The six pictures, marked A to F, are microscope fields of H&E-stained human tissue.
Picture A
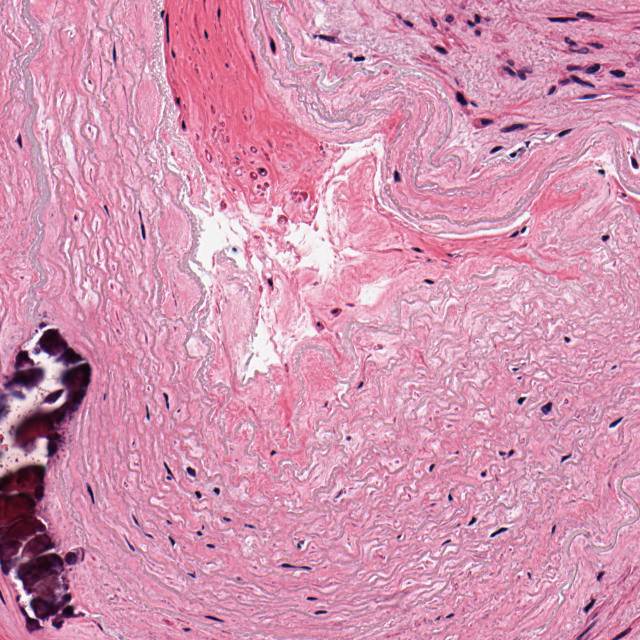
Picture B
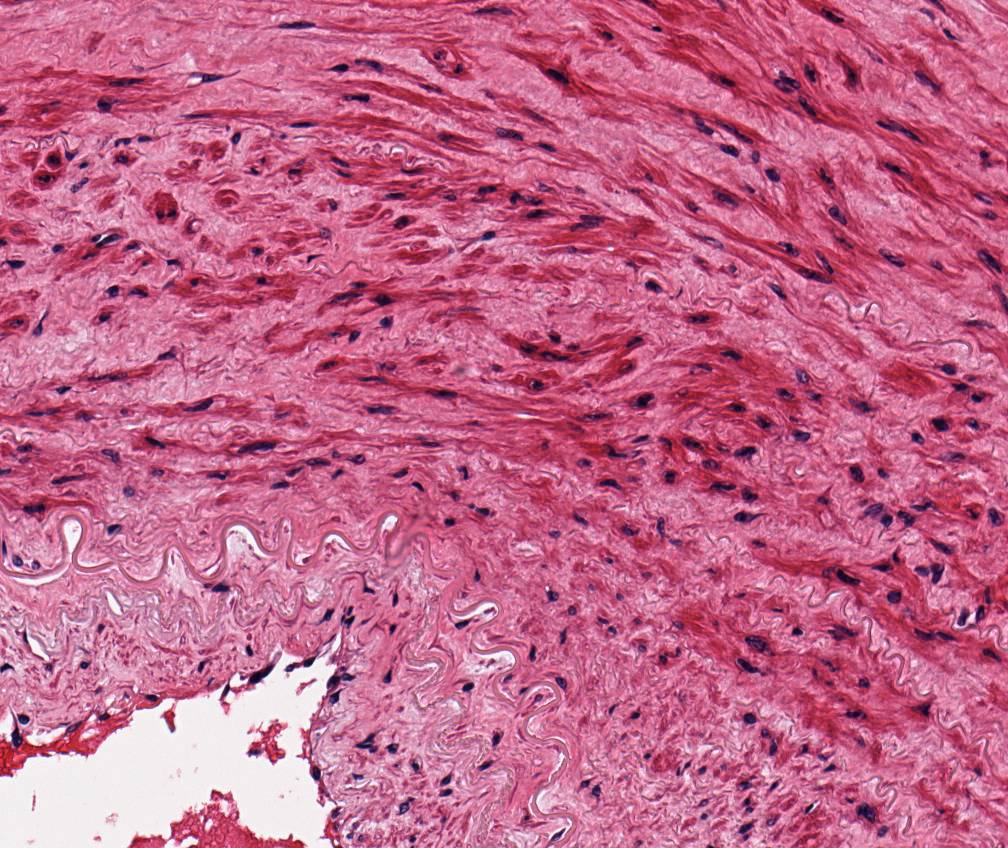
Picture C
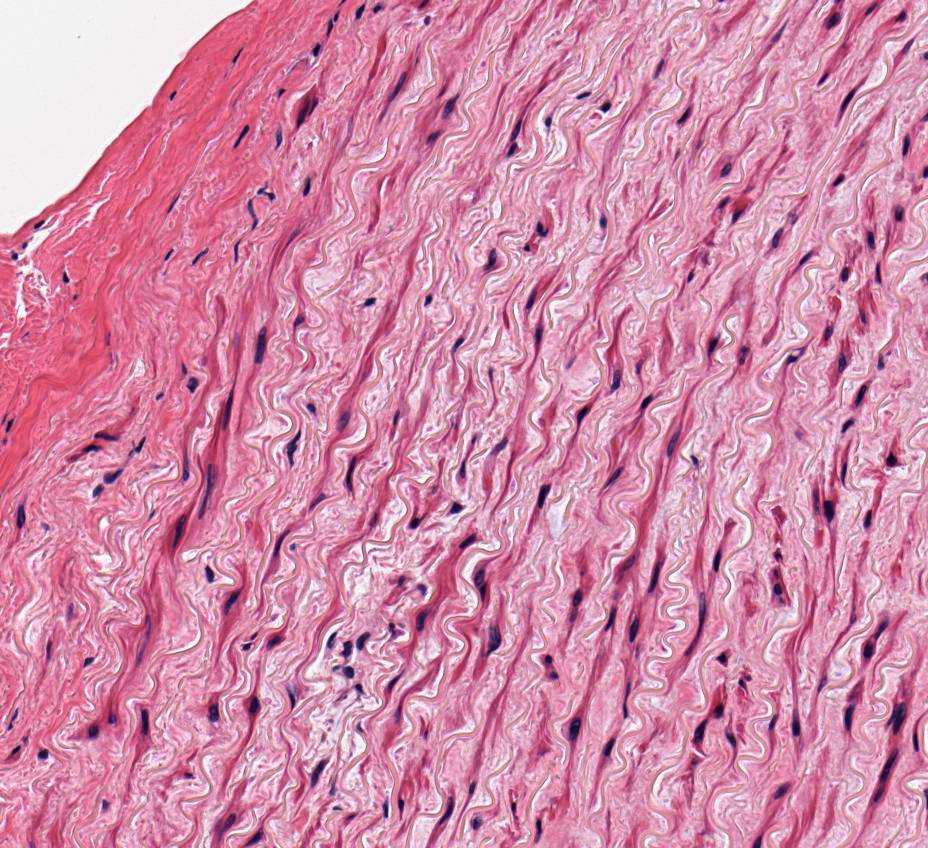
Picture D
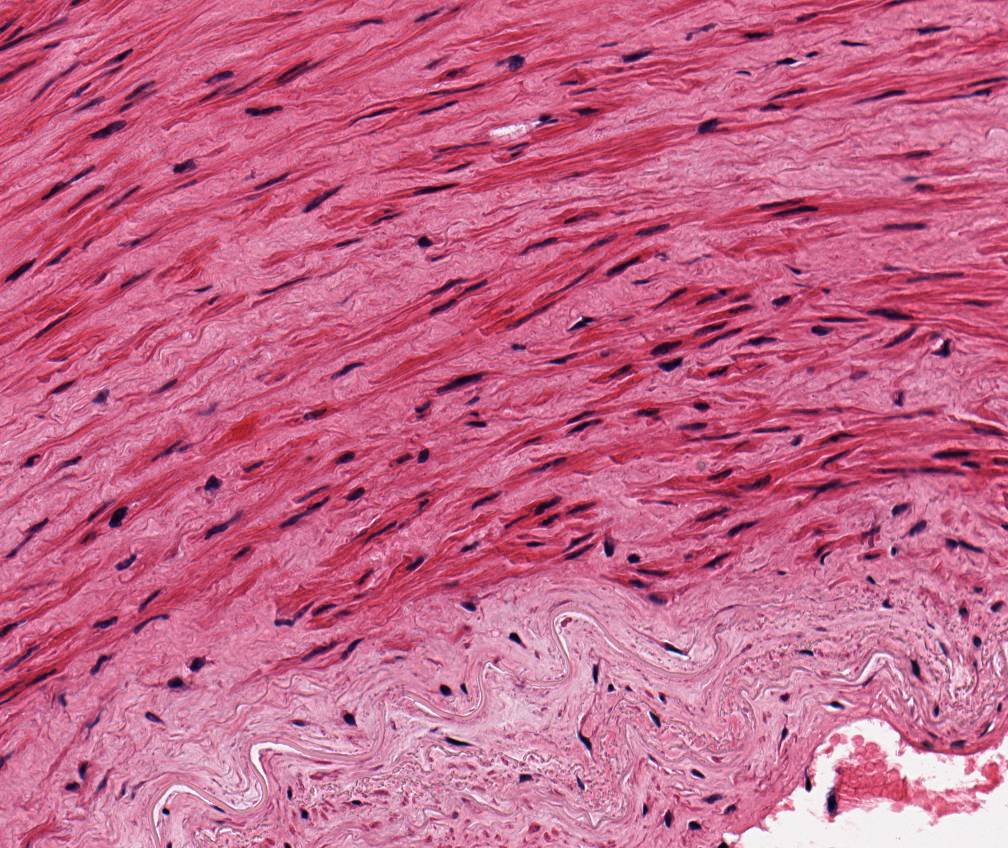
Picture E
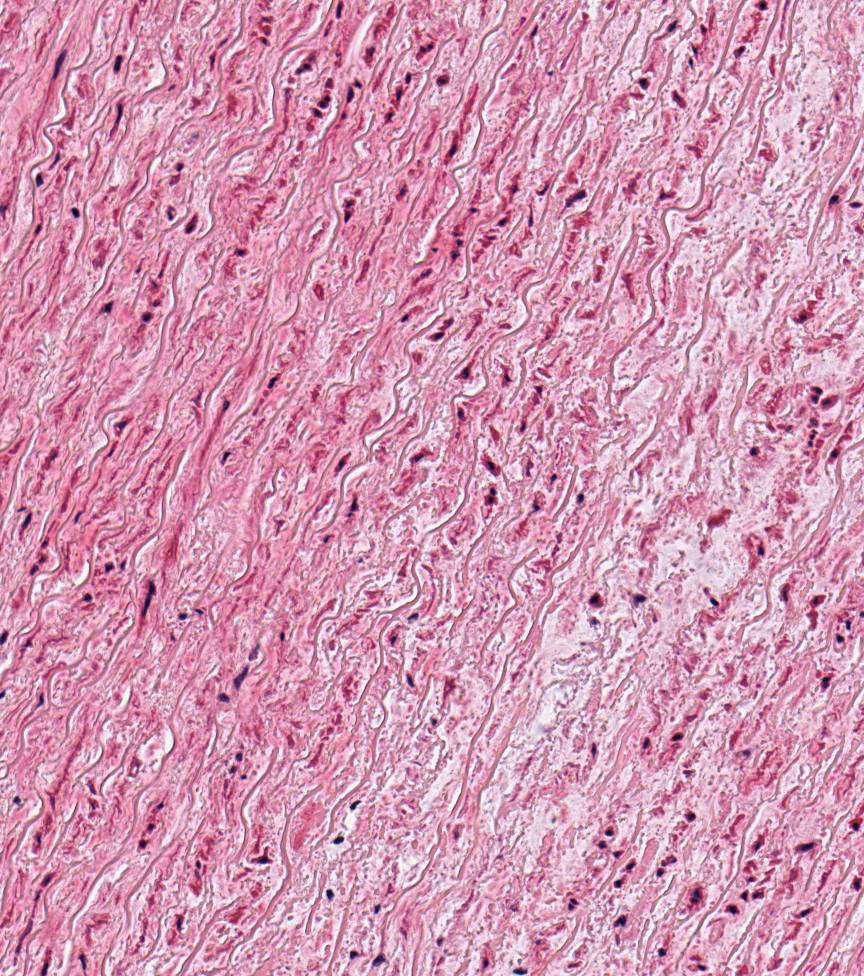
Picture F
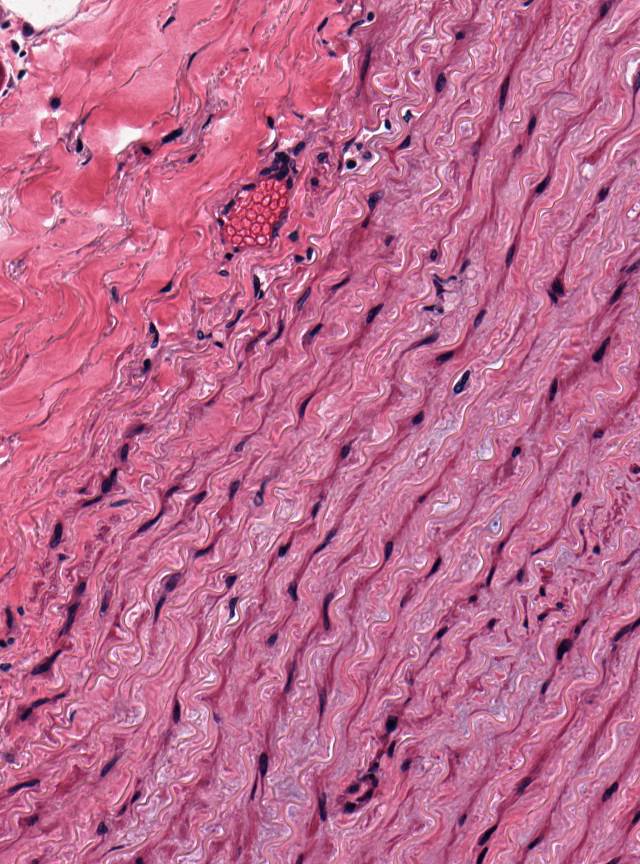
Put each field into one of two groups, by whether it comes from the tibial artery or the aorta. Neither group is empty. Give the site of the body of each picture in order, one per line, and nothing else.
tibial artery
tibial artery
aorta
tibial artery
aorta
aorta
